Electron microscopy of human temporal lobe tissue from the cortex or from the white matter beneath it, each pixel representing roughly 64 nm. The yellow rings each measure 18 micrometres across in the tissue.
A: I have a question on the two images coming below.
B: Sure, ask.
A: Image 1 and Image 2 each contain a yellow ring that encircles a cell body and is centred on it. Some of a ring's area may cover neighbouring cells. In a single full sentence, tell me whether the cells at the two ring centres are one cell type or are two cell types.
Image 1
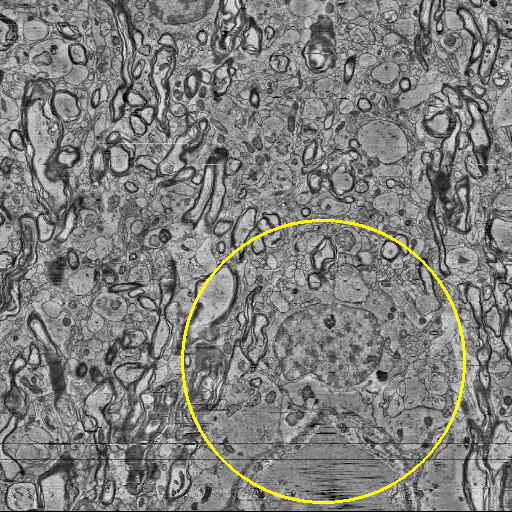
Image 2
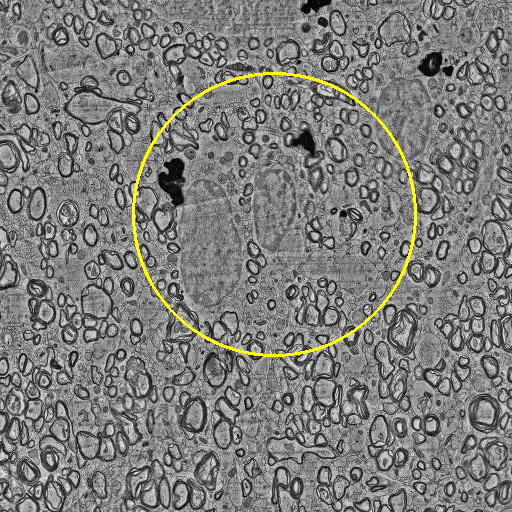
As for the ring-centre cells, the one in Image 1 and the one in Image 2 are two cell types.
